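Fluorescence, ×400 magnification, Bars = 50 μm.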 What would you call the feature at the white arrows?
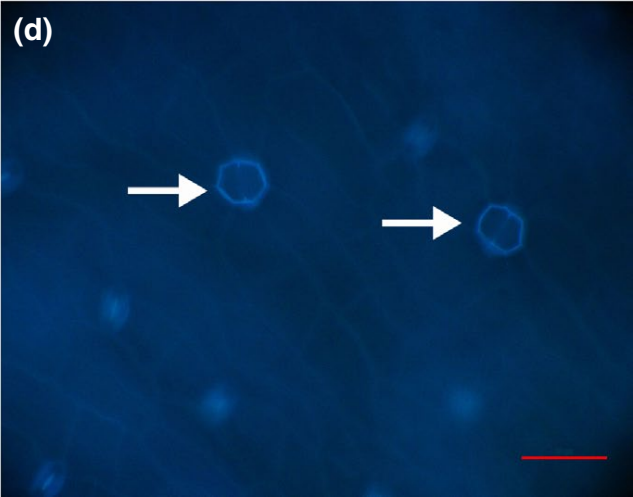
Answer: Salt glands.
